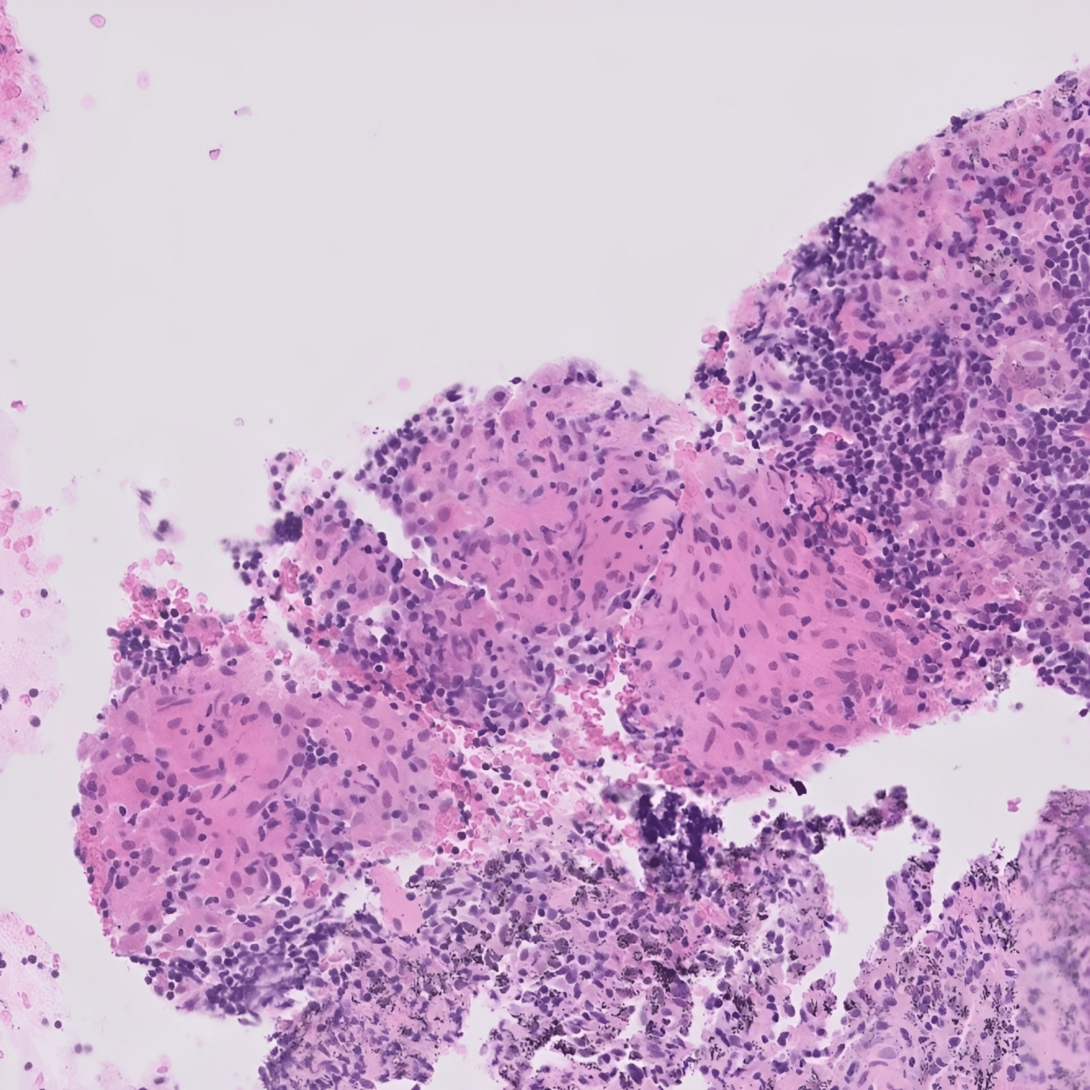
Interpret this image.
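This is lymphoid tissue containing several compact, non-necrotizing granulomas. The granulomas are pale pink nodules of epithelioid histiocytes with abundant eosinophilic cytoplasm and elongated or oval, pale nuclei, and no central necrosis is seen. Around and between them lie dense sheets of small lymphocytes with round, dark purple nuclei. Scattered red blood cells and fine black particulate pigment are present in the fragmented lower part of the sample.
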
